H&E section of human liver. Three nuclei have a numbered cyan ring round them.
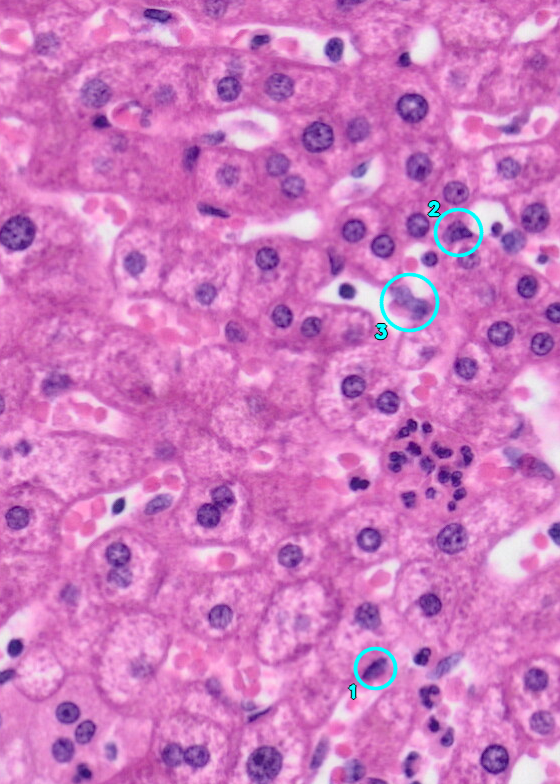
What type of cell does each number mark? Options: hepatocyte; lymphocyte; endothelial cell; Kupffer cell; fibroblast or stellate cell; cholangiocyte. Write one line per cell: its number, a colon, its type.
1: fibroblast or stellate cell
2: fibroblast or stellate cell
3: Kupffer cell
